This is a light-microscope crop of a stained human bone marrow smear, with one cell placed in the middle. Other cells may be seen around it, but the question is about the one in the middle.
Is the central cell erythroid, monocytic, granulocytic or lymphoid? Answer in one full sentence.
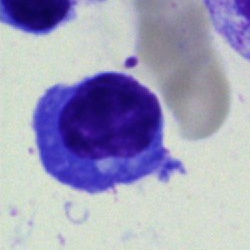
Within the lymphoid lineage lies the cell at the center of the crop.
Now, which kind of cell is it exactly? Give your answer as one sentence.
The central cell in this smear crop is a plasma cell.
